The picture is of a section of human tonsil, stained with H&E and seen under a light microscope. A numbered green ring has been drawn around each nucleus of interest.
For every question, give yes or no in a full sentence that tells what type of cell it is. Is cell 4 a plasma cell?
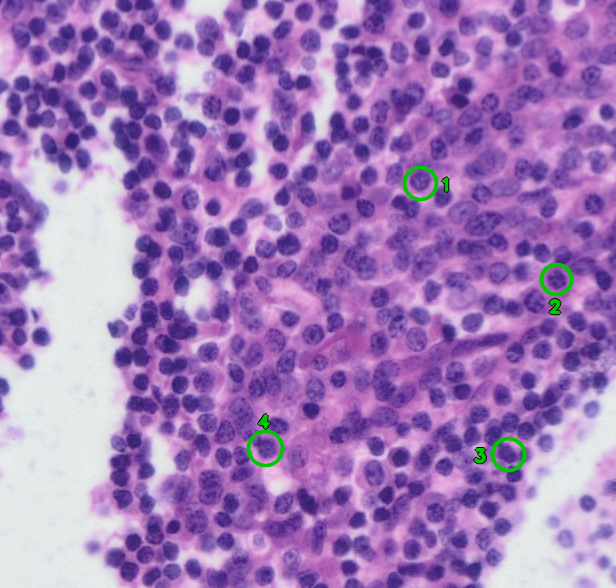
Yes, the cell shown as number 4 is a plasma cell.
